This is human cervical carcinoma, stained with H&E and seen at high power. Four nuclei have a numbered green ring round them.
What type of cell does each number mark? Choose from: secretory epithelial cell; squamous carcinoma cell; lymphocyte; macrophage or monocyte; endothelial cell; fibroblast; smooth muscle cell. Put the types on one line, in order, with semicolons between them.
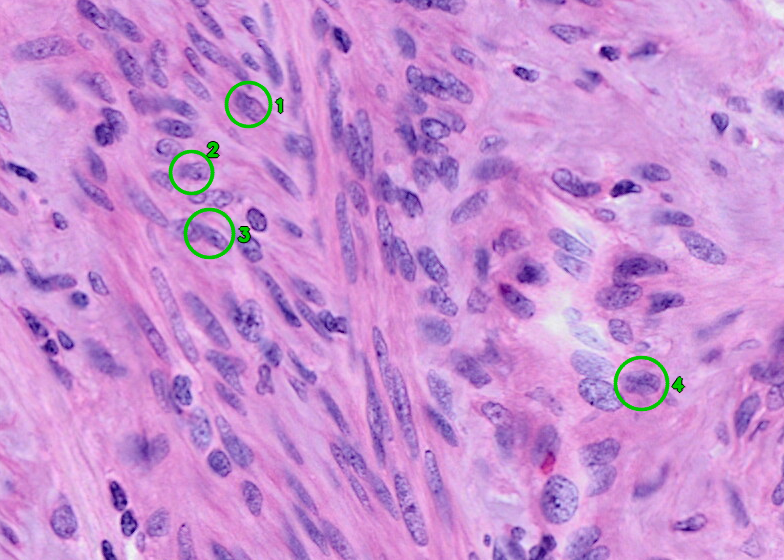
smooth muscle cell; smooth muscle cell; smooth muscle cell; endothelial cell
